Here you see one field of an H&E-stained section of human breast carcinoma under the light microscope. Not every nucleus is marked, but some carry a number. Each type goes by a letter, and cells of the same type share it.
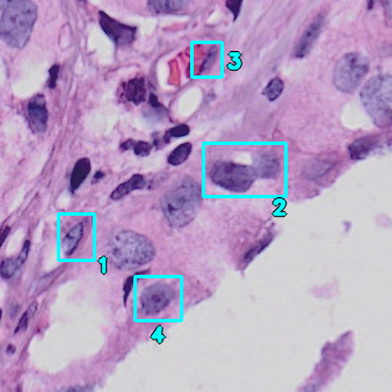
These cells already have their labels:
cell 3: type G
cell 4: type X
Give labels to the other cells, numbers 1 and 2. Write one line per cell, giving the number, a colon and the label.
1: type G
2: type X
